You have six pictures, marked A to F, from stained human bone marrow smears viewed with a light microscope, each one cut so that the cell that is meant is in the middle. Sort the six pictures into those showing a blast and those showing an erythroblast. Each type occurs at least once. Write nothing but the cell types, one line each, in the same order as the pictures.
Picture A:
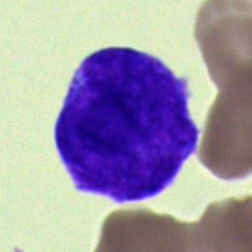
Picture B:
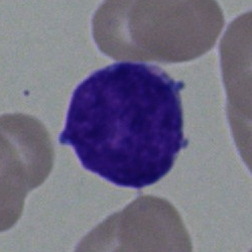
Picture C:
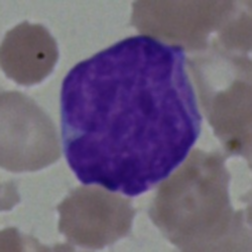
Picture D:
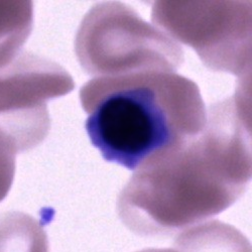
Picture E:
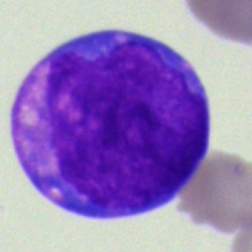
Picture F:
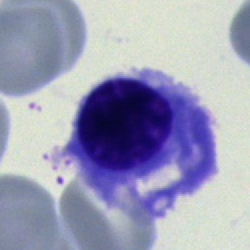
blast
blast
blast
erythroblast
blast
erythroblast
